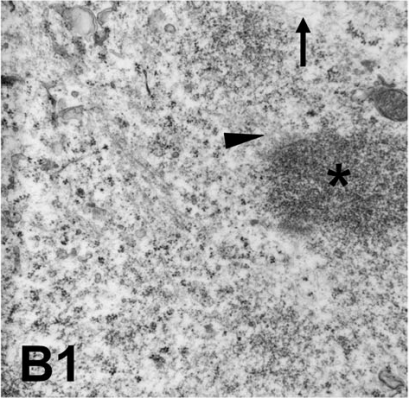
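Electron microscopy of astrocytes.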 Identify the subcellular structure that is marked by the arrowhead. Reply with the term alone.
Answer: Microtubules.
